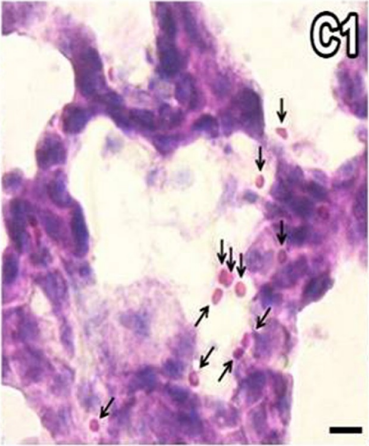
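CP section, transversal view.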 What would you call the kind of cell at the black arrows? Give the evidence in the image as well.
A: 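The arrows point to small round pink-red bodies without nuclei. They lie scattered in a pale space between purple-stained tissue. That points to this answer: extravasated erythrocytes.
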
